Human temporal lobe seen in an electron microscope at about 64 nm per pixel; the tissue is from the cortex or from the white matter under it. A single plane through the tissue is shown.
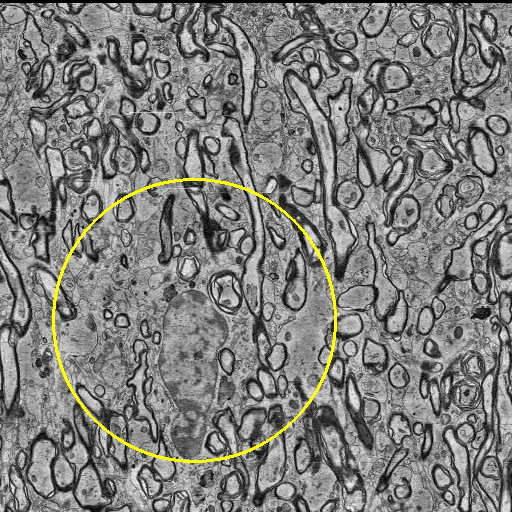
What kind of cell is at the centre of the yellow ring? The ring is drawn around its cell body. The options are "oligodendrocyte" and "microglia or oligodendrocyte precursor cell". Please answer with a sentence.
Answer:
The yellow ring marks the cell body of a microglial cell or oligodendrocyte precursor cell.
